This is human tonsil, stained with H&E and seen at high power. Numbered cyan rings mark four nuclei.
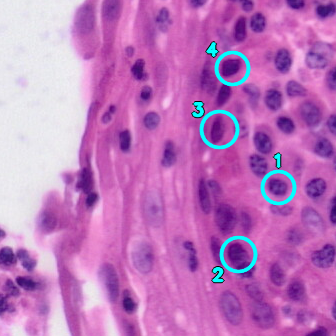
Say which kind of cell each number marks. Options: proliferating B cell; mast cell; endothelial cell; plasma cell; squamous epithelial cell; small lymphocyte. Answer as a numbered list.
1. plasma cell
2. squamous epithelial cell
3. squamous epithelial cell
4. squamous epithelial cell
